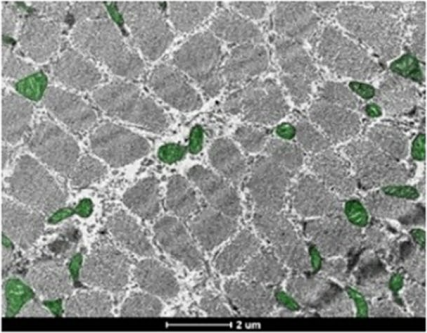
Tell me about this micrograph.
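This is a transverse section through skeletal muscle fibers at the ultrastructural level, with myofibrils cut across as grey polygonal fields of granular texture. Pale spaces outline the myofibrils in a meshwork, widest in a band across the middle left. Small oval and elongated green-highlighted mitochondria lie scattered in these spaces between the myofibrils.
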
